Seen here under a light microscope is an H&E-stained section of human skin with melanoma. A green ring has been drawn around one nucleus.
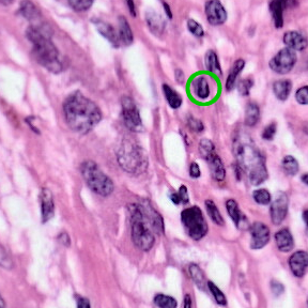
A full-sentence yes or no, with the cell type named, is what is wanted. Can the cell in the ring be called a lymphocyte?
Yes, and to confirm, the cell in the ring is a lymphocyte.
